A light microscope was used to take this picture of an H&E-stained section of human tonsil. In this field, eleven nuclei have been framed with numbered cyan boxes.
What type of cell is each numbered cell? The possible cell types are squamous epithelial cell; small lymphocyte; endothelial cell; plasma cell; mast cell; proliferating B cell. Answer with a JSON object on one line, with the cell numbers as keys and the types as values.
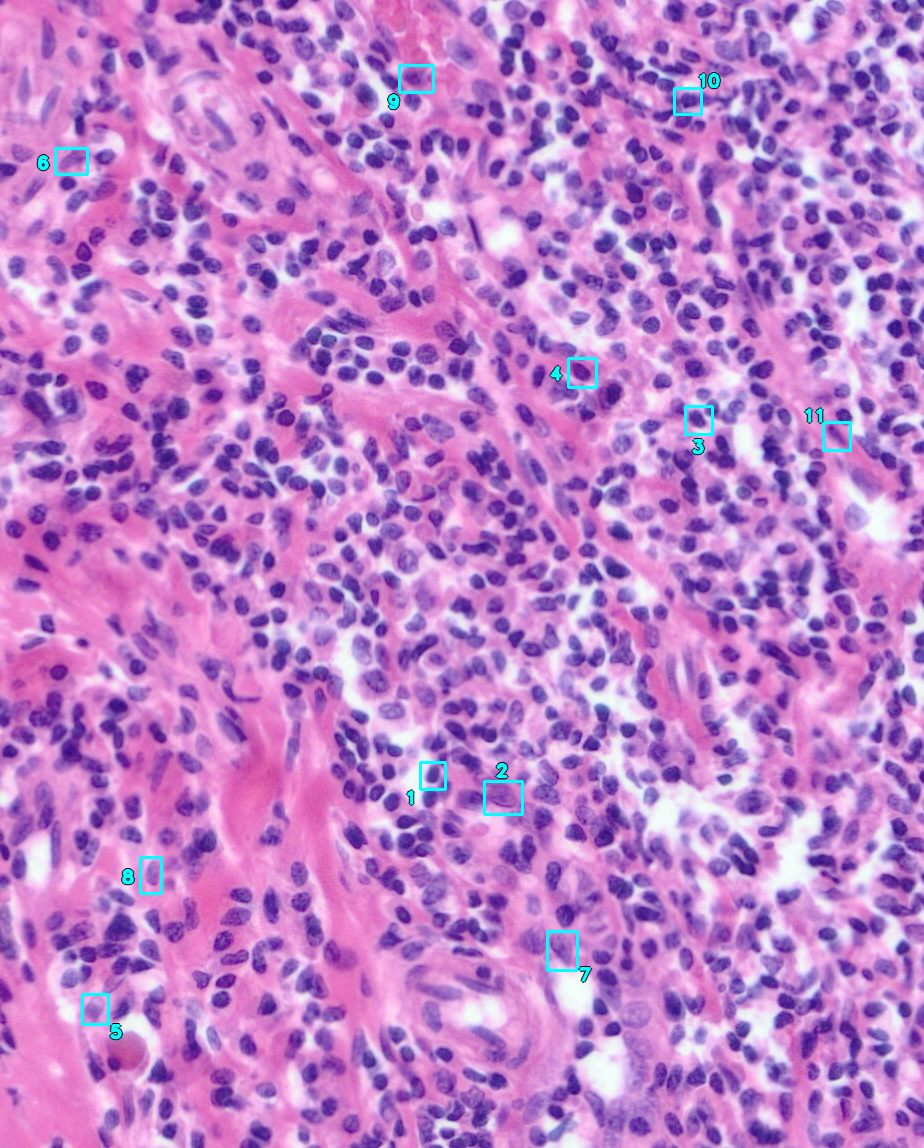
{"1": "small lymphocyte", "2": "endothelial cell", "3": "small lymphocyte", "4": "plasma cell", "5": "endothelial cell", "6": "endothelial cell", "7": "endothelial cell", "8": "mast cell", "9": "endothelial cell", "10": "small lymphocyte", "11": "endothelial cell"}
